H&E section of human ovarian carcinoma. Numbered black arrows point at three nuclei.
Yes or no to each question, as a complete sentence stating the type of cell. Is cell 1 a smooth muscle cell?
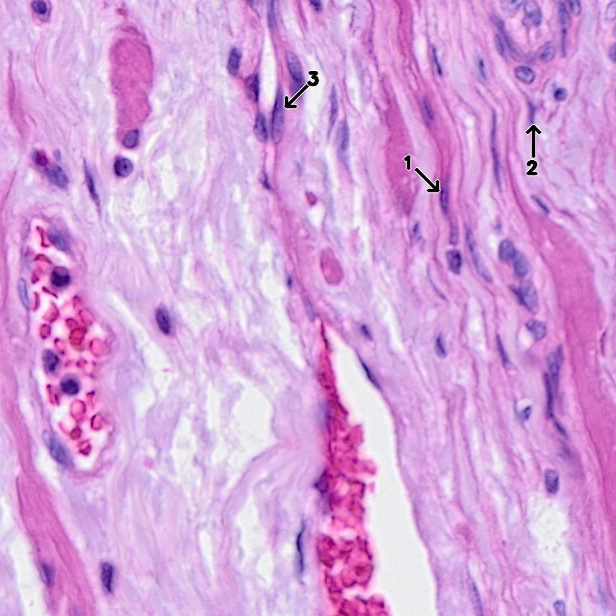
Yes, among the marked cells, the one with number 1 is a smooth muscle cell.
